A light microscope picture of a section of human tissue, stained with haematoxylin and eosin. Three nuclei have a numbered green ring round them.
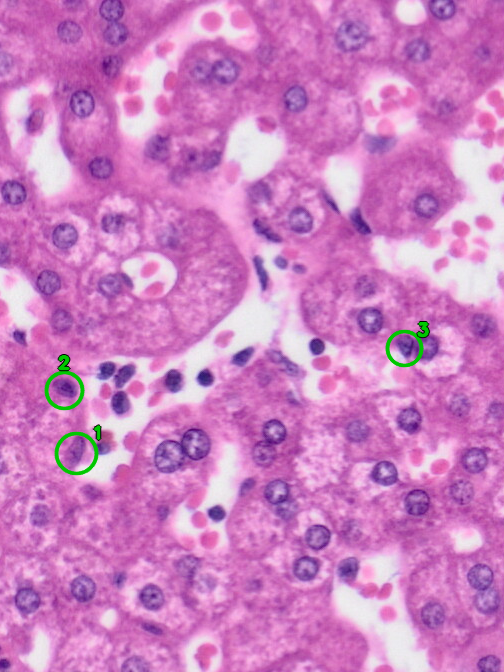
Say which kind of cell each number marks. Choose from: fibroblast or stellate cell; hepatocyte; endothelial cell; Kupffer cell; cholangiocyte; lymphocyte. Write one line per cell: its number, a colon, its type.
1: Kupffer cell
2: fibroblast or stellate cell
3: fibroblast or stellate cell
